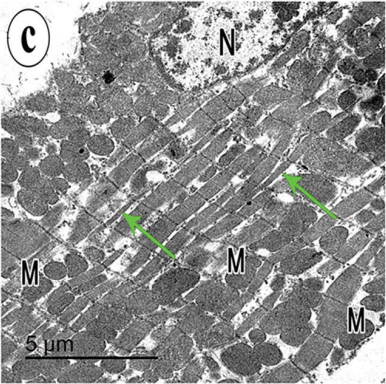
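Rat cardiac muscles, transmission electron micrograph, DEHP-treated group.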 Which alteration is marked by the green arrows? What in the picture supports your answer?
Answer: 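The arrows point to thin striated bundles. The thin bundles are separated by many rounded dense bodies and pale gaps. On this evidence: relatively attenuated myofibrils.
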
